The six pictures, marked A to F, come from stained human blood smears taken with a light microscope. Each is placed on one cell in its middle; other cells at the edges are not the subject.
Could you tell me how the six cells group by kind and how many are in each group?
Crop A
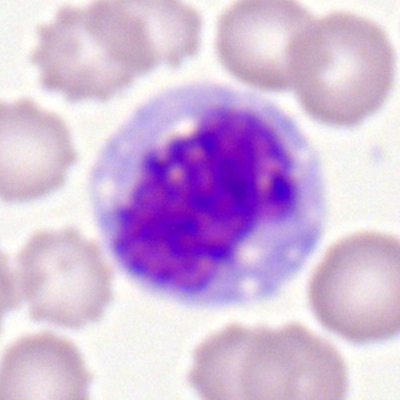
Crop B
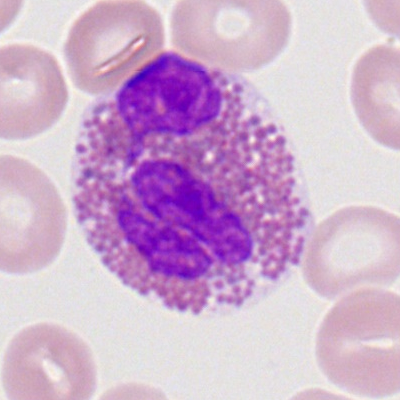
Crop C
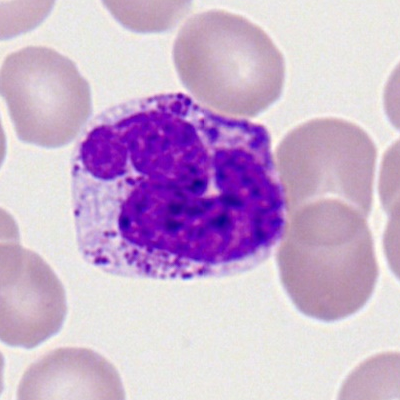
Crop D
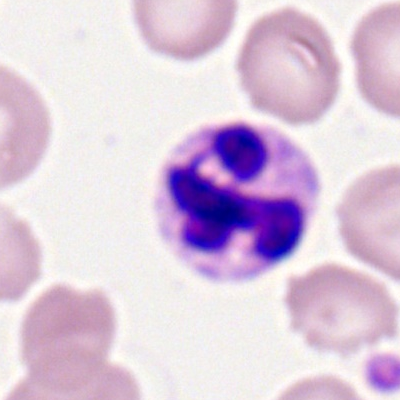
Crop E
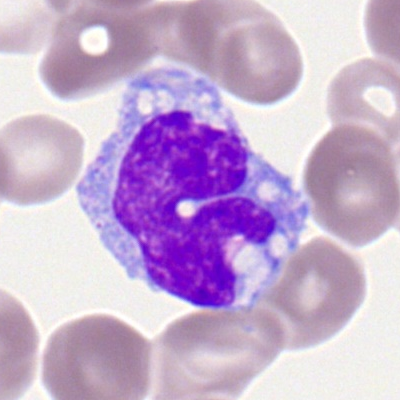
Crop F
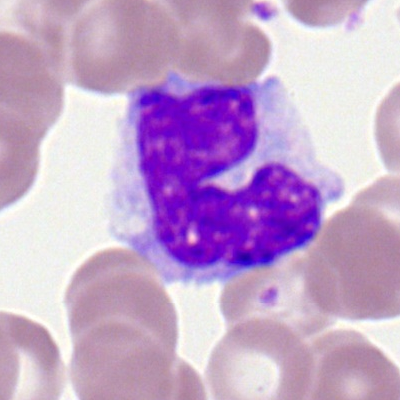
monocyte: 3
eosinophil: 1
basophil: 1
segmented neutrophil: 1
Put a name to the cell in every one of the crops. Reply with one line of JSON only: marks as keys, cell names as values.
{"A": "monocyte", "B": "eosinophil", "C": "basophil", "D": "segmented neutrophil", "E": "monocyte", "F": "monocyte"}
